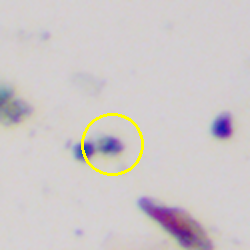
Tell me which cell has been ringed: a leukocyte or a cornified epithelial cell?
It is a leukocyte.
